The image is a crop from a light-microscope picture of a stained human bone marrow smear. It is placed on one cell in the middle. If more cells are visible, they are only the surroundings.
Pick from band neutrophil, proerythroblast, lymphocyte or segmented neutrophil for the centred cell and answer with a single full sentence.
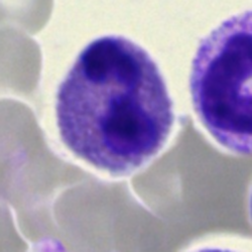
Located at the centre of the crop is a segmented neutrophil.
